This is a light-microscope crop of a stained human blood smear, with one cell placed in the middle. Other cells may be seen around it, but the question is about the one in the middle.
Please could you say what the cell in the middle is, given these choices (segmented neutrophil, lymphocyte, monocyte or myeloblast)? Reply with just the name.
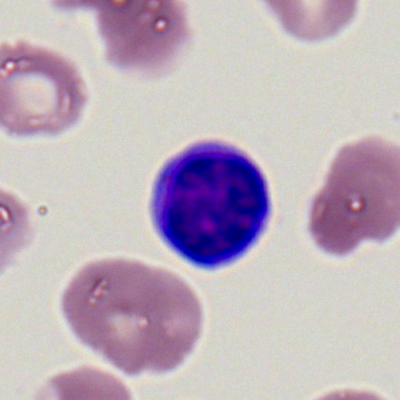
lymphocyte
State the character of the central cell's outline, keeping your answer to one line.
The edge of the cell is unbroken and smooth, bearing no projections.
